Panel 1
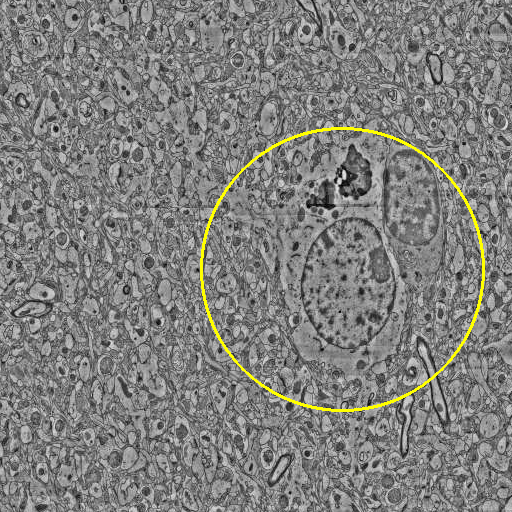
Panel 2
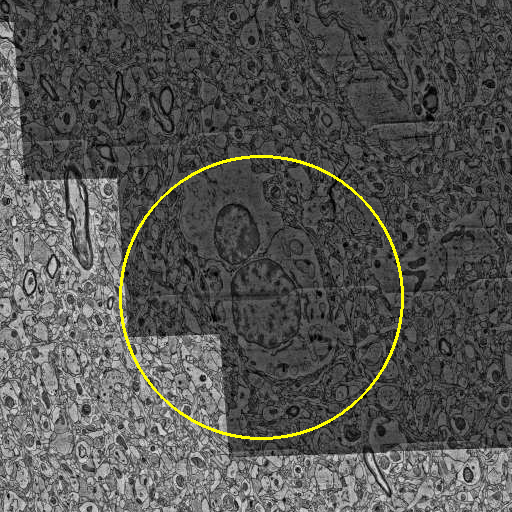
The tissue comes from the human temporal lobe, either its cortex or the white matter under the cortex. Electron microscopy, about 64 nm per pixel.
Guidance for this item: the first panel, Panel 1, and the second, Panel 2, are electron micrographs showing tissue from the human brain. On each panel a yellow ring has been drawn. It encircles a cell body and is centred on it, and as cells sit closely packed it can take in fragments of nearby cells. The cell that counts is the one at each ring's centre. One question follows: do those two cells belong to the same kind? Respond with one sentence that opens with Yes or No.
Yes, the cells at the ring centres in Panel 1 and Panel 2 are of one kind.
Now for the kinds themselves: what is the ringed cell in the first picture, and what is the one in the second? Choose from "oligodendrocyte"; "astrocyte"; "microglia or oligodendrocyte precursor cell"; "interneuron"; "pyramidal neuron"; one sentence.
Each one of the two ringed cells is an astrocyte.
